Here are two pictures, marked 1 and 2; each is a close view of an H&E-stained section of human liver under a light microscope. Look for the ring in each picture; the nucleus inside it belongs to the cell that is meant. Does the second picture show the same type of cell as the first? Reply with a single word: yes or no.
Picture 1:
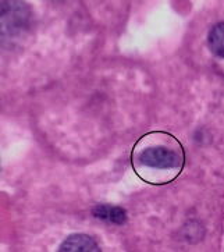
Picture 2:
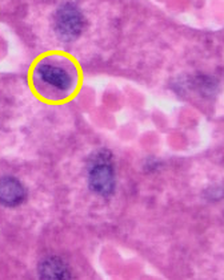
no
